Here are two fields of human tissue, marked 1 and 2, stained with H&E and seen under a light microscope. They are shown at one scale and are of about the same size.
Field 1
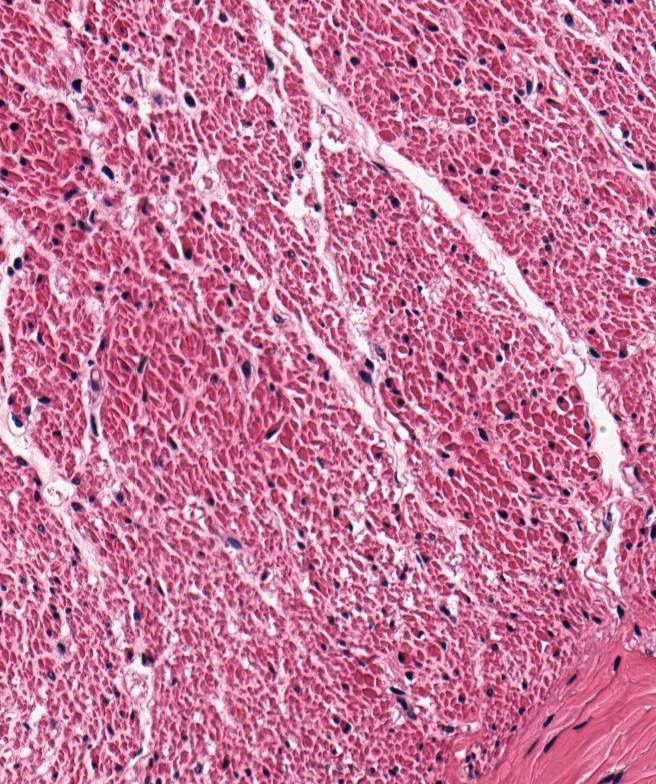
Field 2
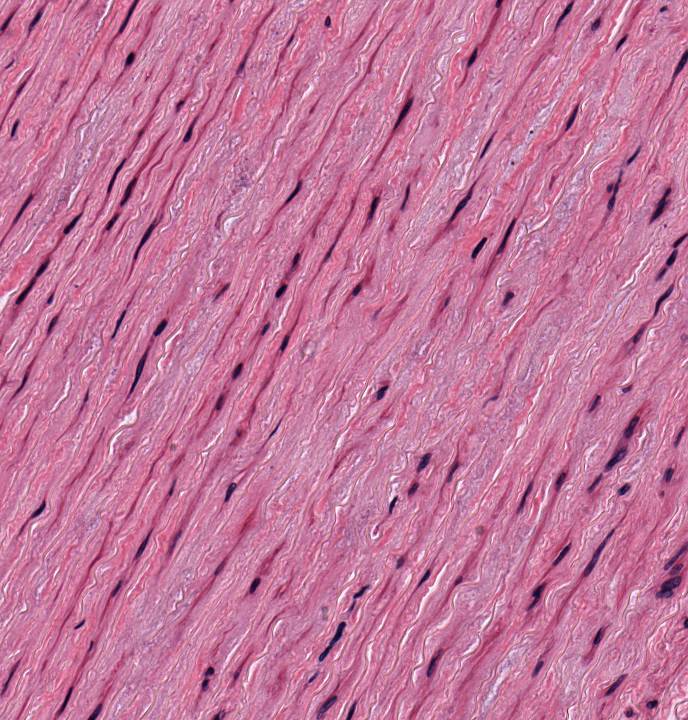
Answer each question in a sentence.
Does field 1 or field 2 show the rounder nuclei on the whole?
It is field 1 whose nuclei are the rounder.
